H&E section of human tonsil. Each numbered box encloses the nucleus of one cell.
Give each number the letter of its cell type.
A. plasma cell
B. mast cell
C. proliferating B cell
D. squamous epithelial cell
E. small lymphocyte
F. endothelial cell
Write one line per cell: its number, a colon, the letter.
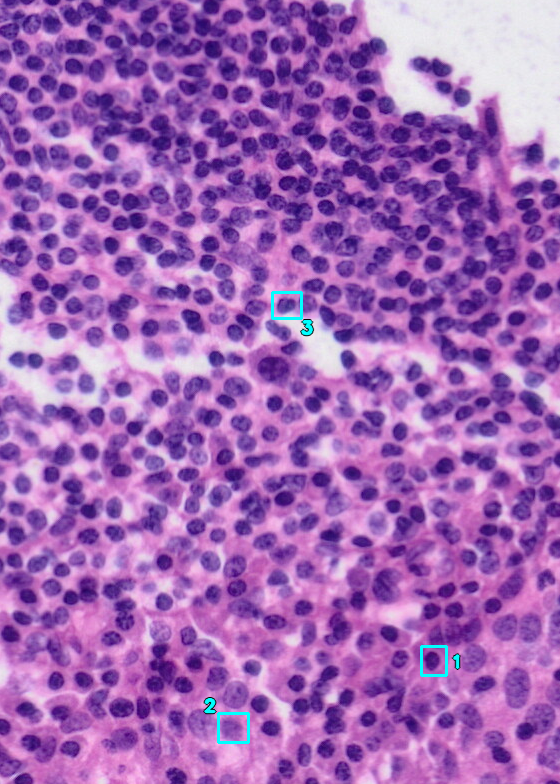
1: A
2: D
3: E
